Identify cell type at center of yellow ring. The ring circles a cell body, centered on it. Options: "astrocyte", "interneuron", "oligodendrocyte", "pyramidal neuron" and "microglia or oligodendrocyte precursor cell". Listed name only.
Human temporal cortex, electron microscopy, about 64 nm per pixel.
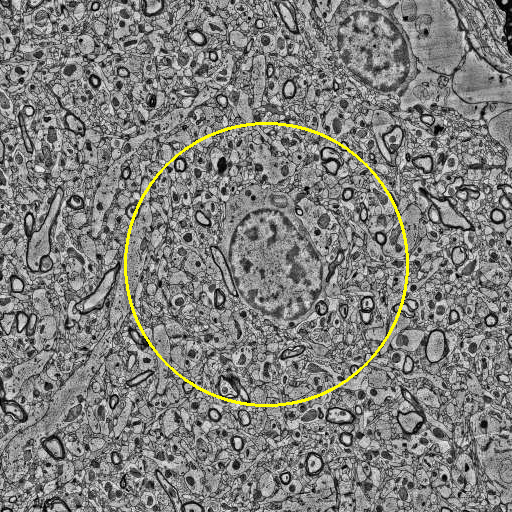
oligodendrocyte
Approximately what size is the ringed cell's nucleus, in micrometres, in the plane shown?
The nucleus is approximately 7 micrometers long by 6 micrometers wide in this plane.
